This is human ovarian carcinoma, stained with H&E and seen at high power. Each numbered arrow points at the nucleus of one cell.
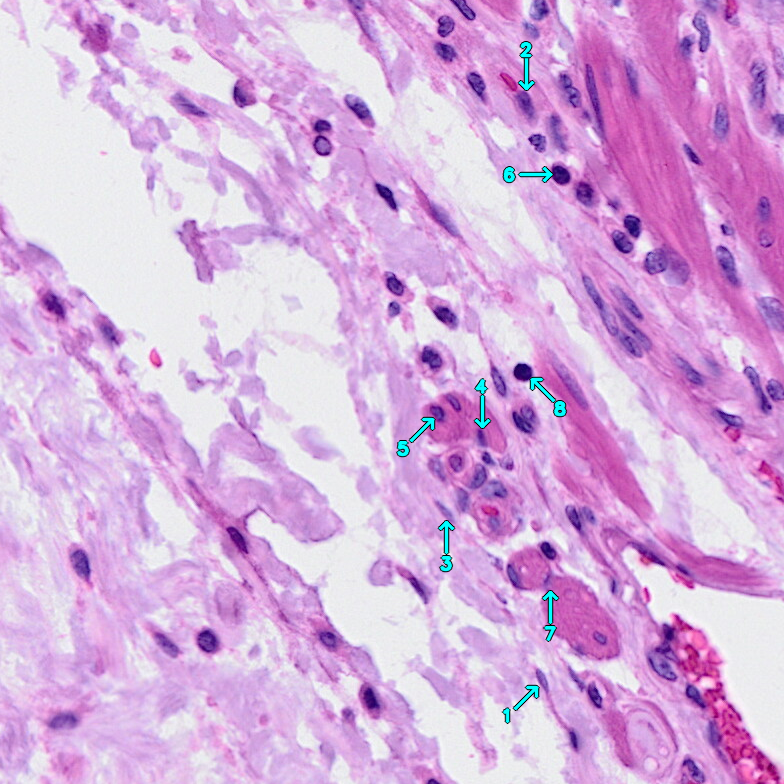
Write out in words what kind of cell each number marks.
Cells 1 and 3 are fibroblasts. Cell 2 is an endothelial cell. Cells 4, 5 and 7 are smooth muscle cells. Cells 6 and 8 are lymphocytes.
